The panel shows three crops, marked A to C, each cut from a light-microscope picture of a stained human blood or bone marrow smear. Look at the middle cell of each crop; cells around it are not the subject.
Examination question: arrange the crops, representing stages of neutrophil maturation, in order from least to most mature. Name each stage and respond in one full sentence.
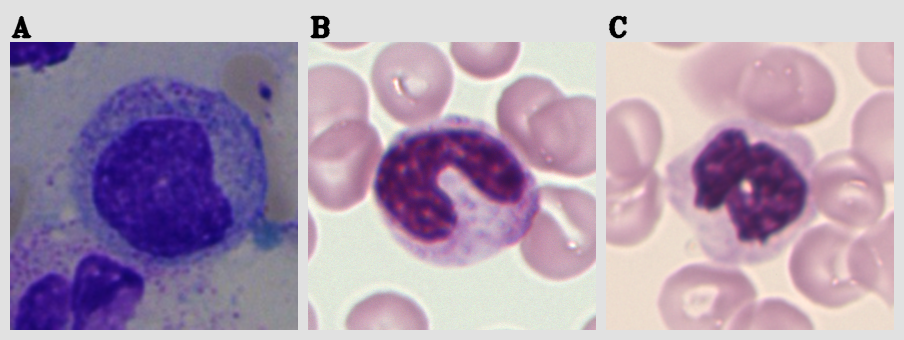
Along a scale from least to most mature, the order is crop A (a metamyelocyte), crop B (a band neutrophil) and crop C (a segmented neutrophil).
